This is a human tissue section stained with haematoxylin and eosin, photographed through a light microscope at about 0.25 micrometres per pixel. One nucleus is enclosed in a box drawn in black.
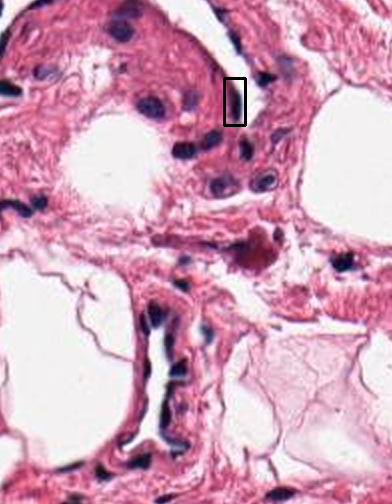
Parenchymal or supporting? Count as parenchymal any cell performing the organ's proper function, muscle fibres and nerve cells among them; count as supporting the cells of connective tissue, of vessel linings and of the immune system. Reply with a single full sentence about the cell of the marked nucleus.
Housed within a supporting cell is the marked nucleus.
